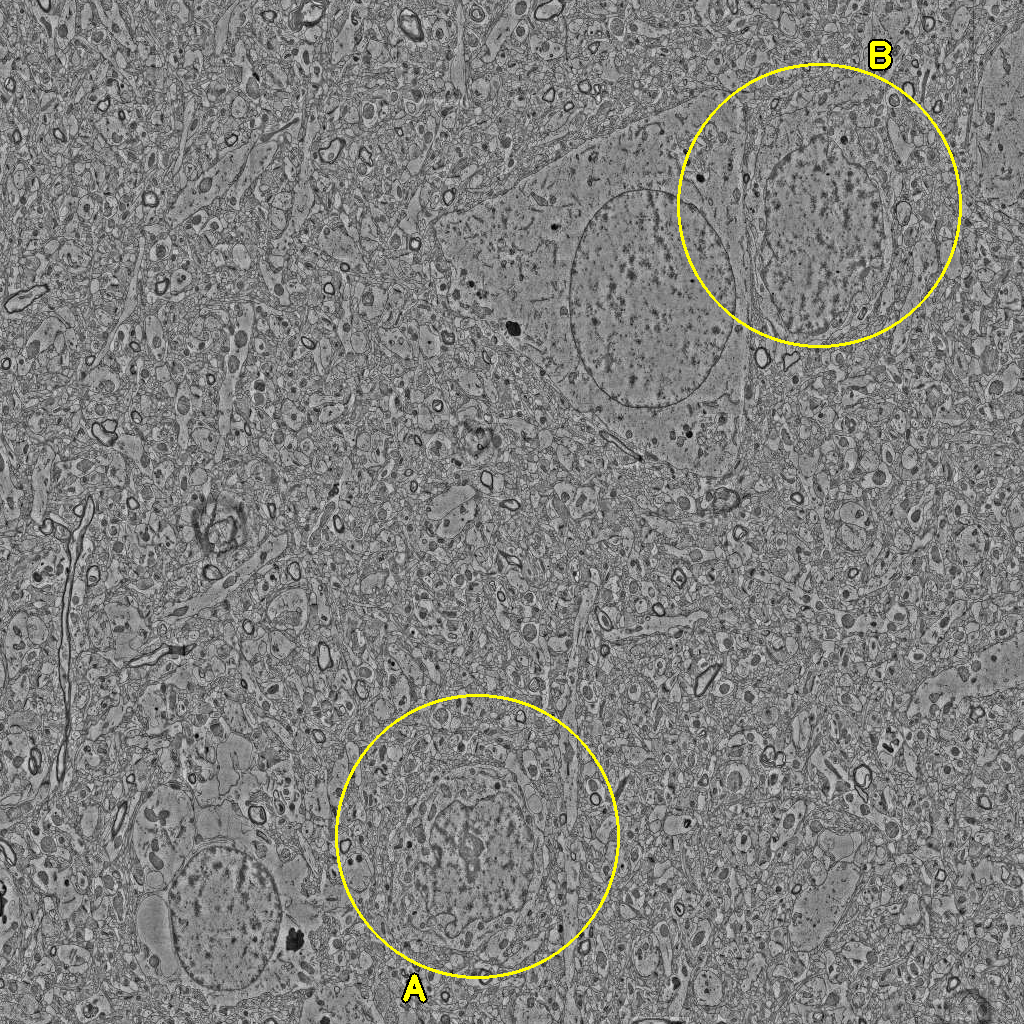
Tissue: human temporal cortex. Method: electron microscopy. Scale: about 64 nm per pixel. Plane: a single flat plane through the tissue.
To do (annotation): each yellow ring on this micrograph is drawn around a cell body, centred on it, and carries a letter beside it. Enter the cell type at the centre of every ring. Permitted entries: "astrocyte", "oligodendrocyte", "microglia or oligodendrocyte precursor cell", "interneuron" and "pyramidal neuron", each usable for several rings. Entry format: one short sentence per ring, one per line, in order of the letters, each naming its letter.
Ring A: the cell at its centre is an interneuron.
Ring B: the cell at its centre is an interneuron.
